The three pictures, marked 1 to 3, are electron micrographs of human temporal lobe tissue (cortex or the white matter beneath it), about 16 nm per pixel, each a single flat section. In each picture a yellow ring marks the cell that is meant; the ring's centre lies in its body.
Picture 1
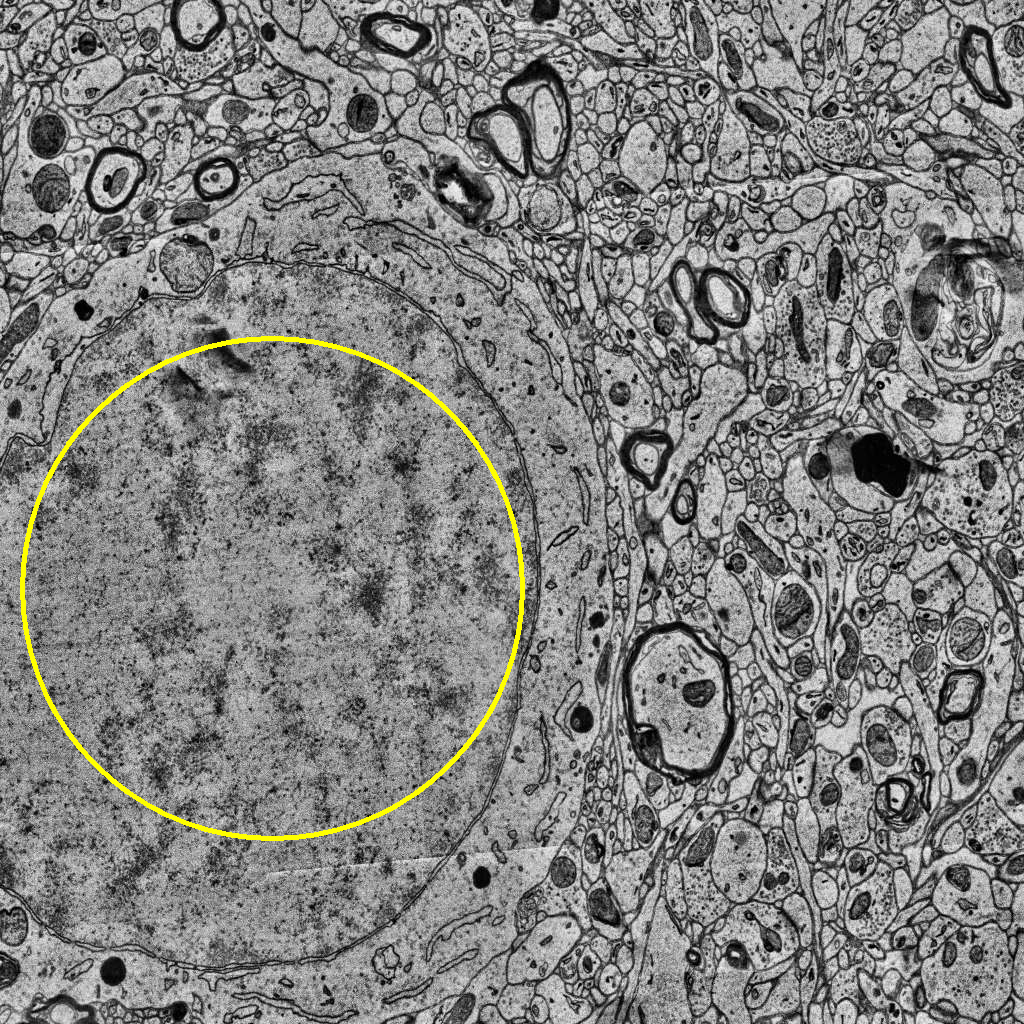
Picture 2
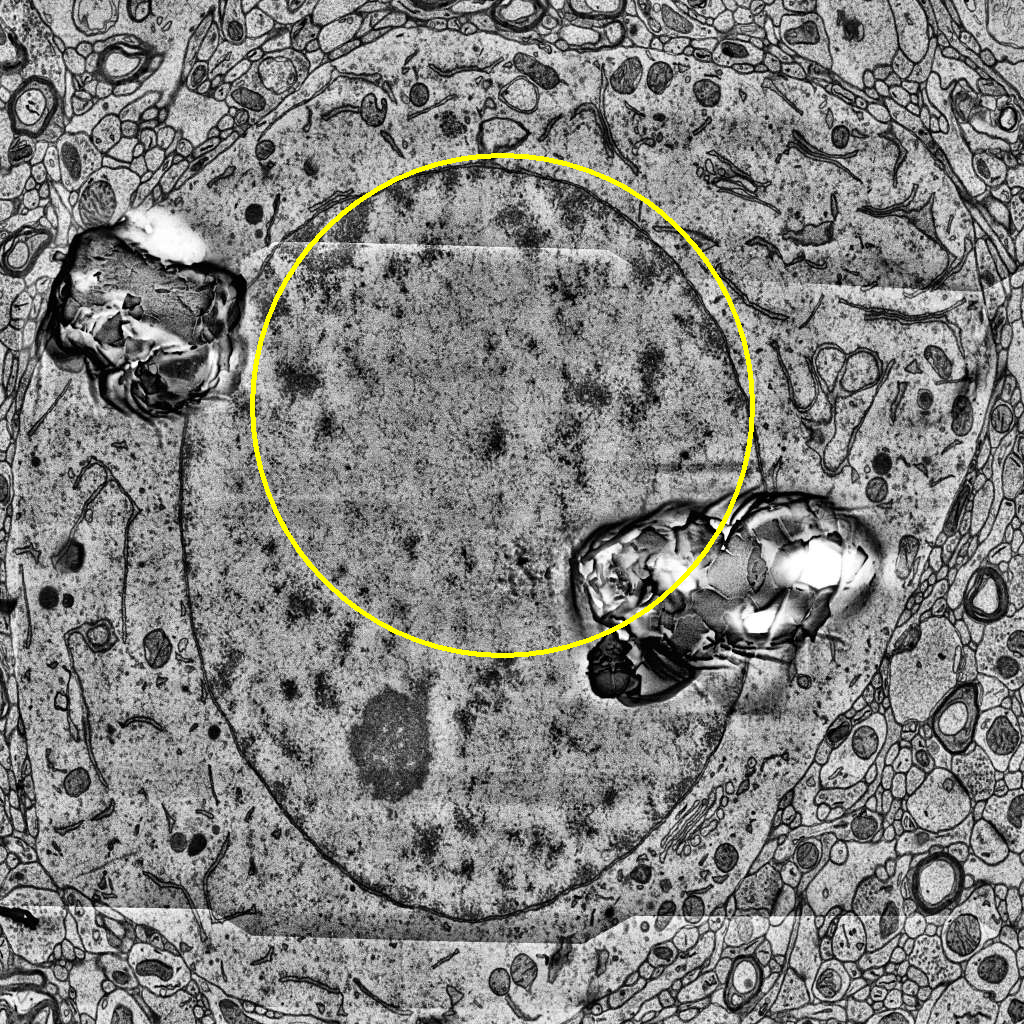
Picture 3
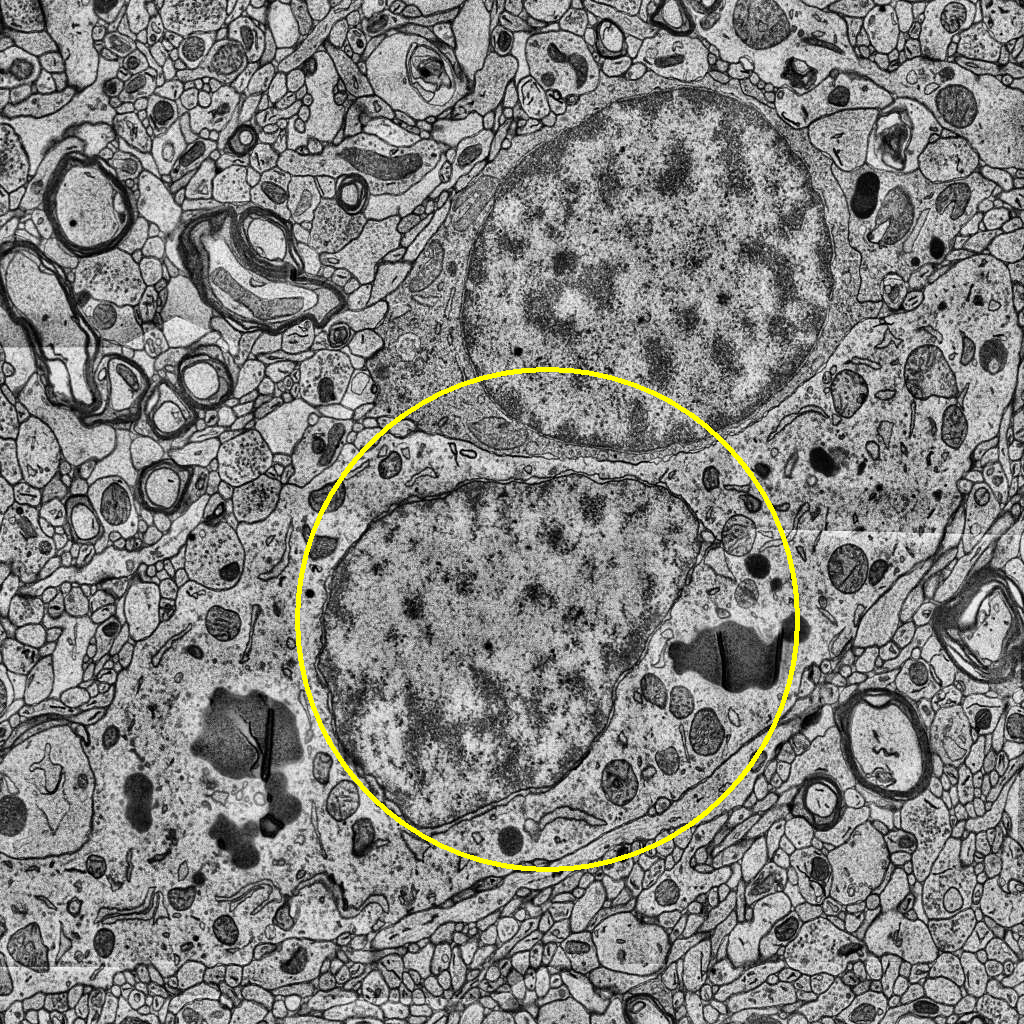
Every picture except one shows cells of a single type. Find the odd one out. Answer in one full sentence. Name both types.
Picture 2 is the odd one out: it shows a pyramidal neuron, while the others show interneurons.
